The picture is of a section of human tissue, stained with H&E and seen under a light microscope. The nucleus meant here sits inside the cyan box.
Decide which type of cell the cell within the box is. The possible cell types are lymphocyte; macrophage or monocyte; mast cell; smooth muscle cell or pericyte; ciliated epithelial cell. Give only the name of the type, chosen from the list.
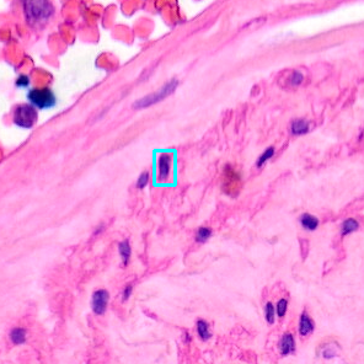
smooth muscle cell or pericyte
